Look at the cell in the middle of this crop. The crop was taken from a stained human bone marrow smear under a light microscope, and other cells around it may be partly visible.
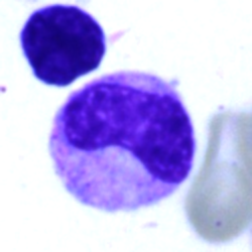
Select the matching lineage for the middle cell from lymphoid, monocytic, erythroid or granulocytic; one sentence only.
The cell in the middle is to be grouped with the granulocytic lineage.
